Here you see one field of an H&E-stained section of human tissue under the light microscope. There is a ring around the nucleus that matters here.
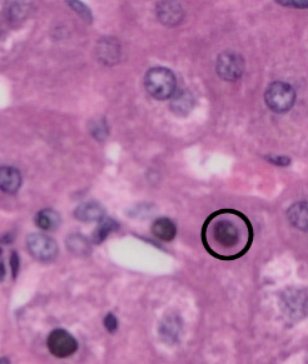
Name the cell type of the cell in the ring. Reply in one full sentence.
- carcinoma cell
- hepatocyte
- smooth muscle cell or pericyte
The cell type of the cell in the ring is that of a hepatocyte.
